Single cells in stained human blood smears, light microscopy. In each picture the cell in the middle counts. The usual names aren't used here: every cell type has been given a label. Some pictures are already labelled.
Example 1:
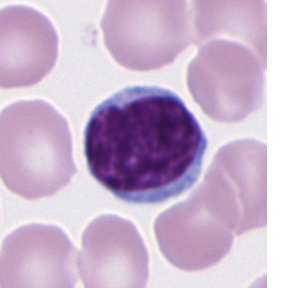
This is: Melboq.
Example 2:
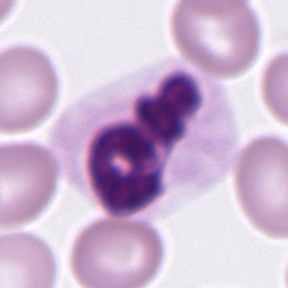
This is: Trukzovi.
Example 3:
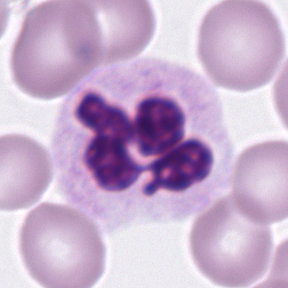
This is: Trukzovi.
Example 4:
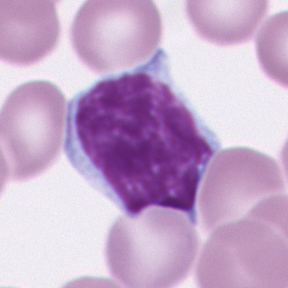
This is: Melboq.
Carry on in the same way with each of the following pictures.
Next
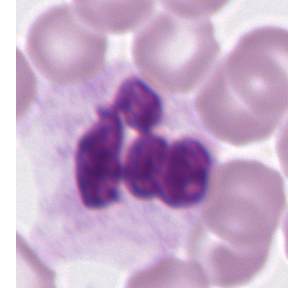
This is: Trukzovi.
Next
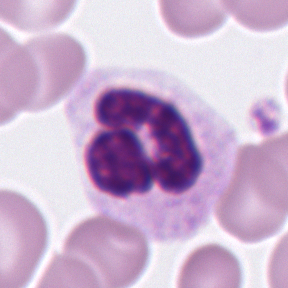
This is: Trukzovi.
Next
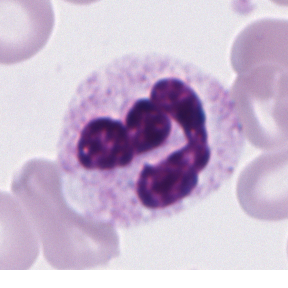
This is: Trukzovi.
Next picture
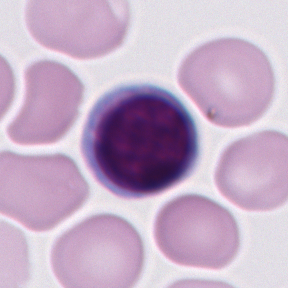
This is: Melboq.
